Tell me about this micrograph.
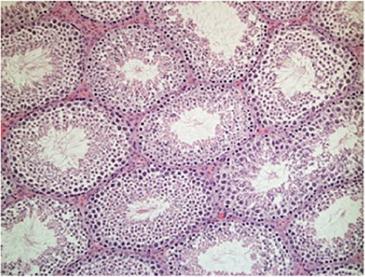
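This is testis with closely packed, round cross sections of seminiferous tubules showing active spermatogenesis. Toward the centre the cells become smaller and more crowded, and the central lumens are pale and hold wisps of pink tail-like material. Narrow strips of interstitial tissue with pink-staining cells lie in the angles between neighbouring tubules.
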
